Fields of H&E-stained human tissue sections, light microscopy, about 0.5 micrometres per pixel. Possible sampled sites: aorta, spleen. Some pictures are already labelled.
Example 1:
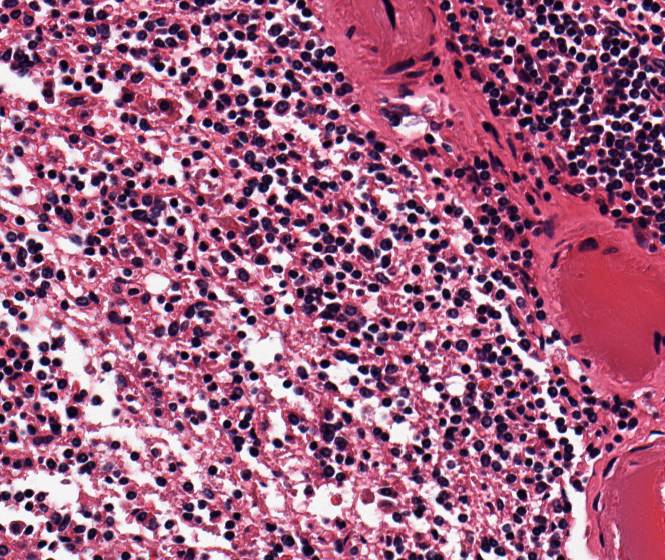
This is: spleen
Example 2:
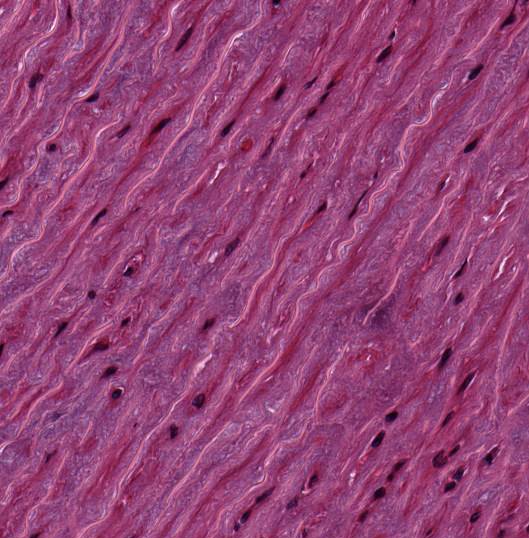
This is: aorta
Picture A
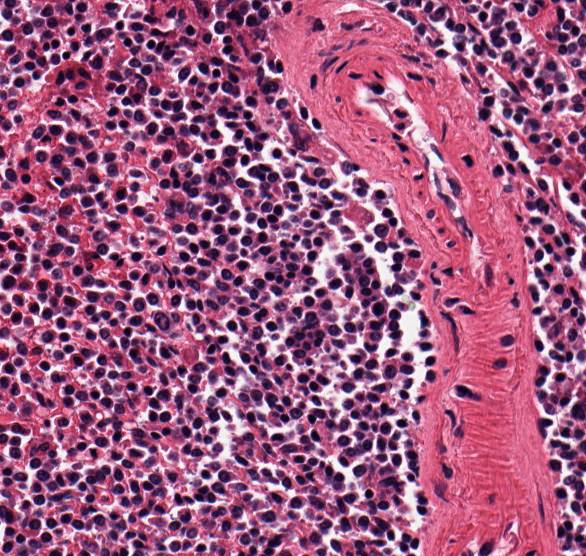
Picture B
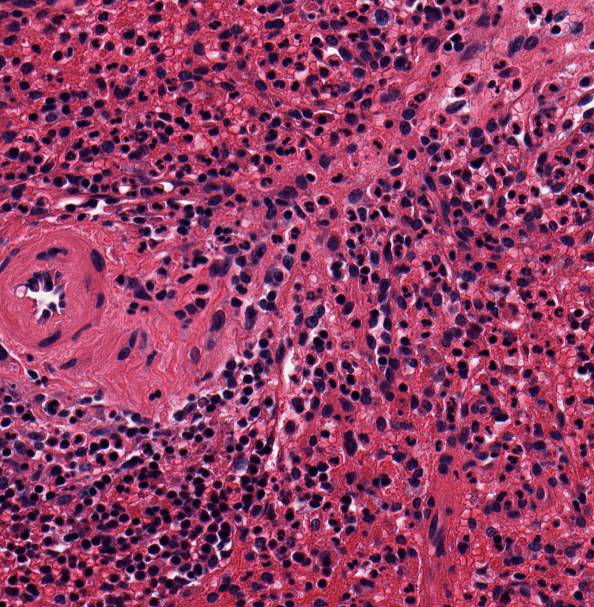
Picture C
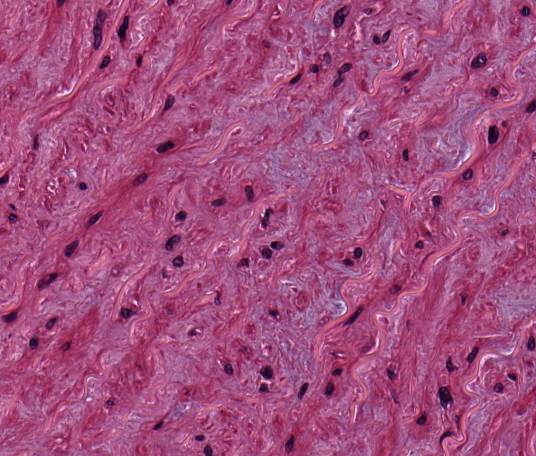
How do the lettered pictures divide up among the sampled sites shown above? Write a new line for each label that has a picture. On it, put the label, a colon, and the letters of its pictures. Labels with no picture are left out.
aorta: C
spleen: A, B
